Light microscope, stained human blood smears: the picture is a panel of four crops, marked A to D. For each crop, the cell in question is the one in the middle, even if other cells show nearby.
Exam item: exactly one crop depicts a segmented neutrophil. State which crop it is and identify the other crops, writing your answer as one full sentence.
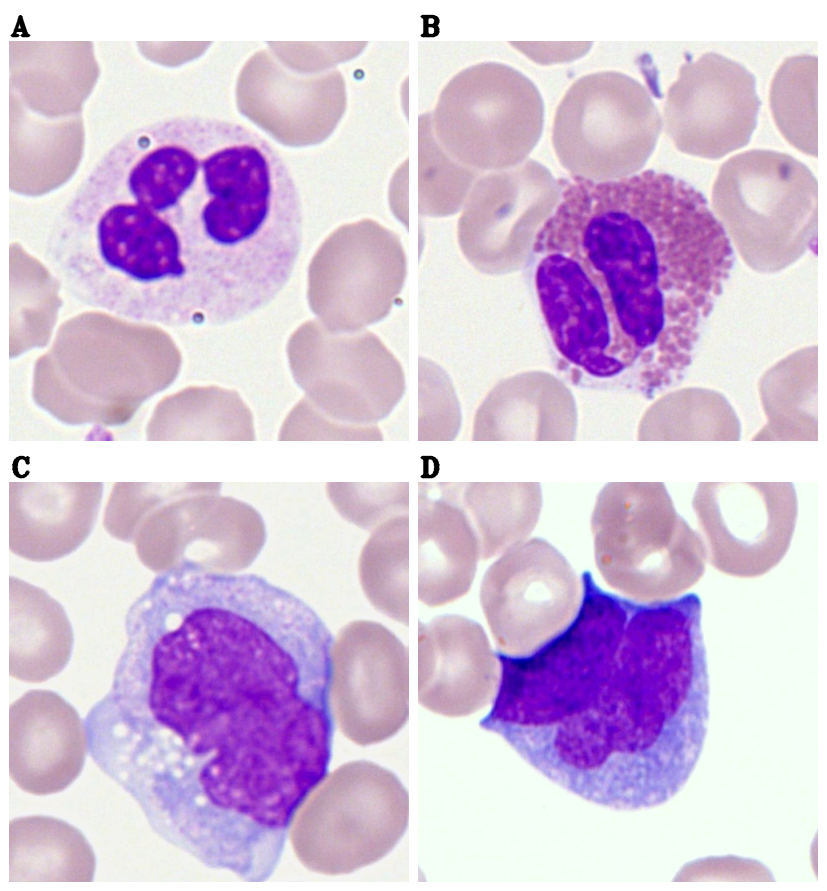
Crop by crop: crop A is a segmented neutrophil, while crop B is an eosinophil, crop C is a monocyte and crop D is a myeloblast.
